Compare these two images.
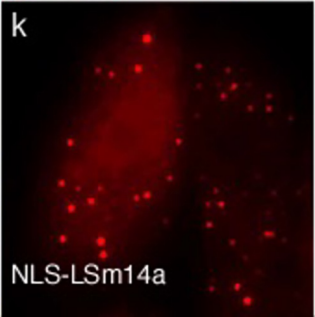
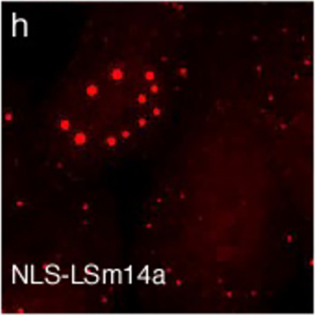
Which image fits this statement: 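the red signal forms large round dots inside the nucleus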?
The second image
